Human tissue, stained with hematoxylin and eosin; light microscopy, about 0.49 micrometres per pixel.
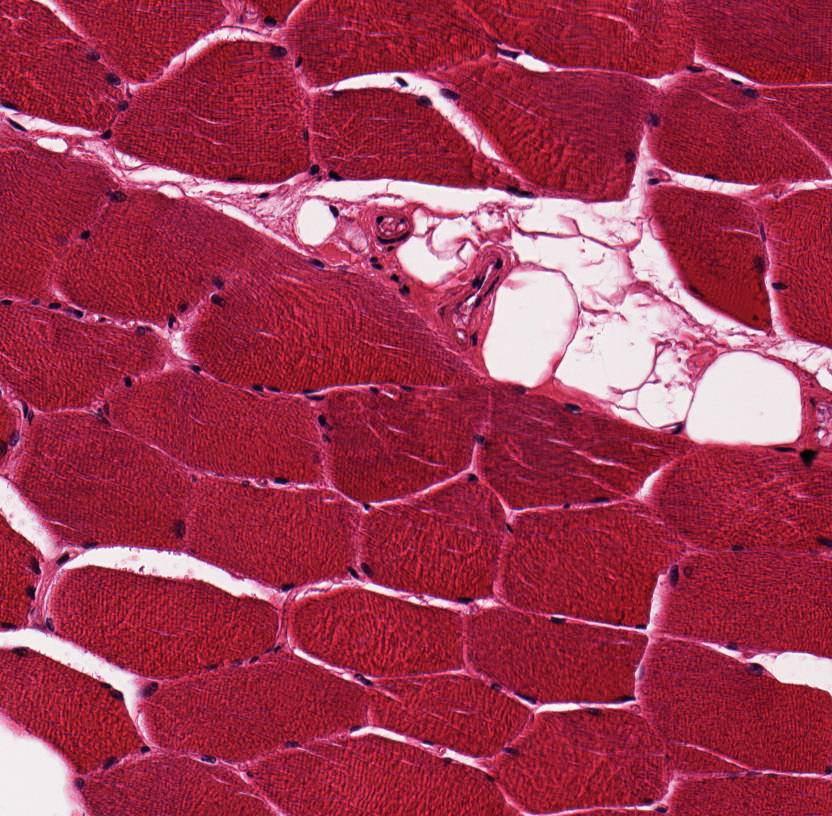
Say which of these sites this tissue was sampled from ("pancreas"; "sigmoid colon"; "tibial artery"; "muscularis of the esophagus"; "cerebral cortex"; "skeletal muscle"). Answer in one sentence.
The site this tissue was sampled from is the skeletal muscle.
